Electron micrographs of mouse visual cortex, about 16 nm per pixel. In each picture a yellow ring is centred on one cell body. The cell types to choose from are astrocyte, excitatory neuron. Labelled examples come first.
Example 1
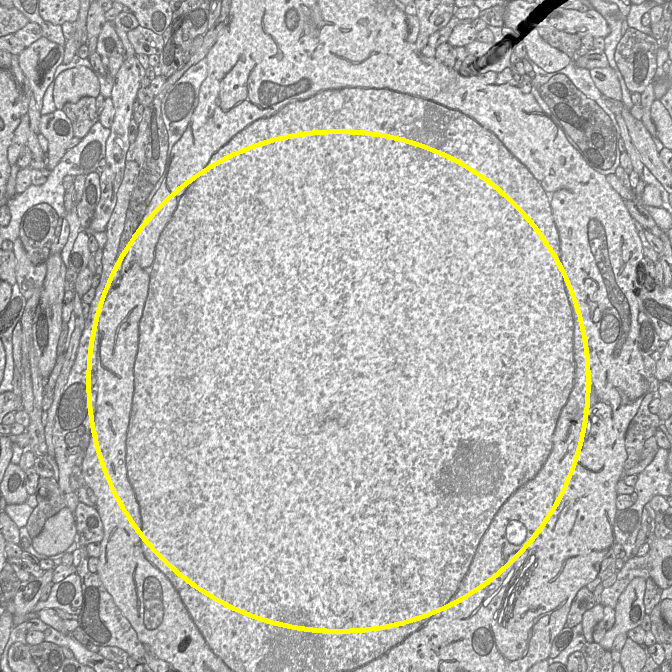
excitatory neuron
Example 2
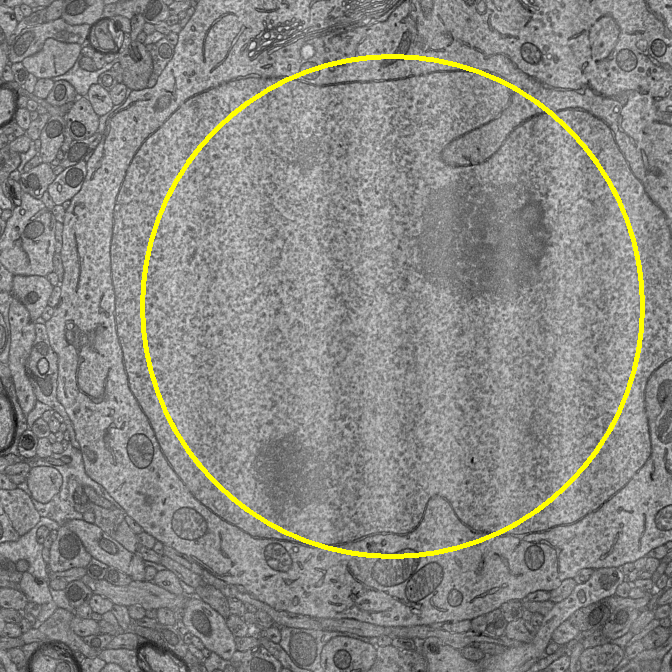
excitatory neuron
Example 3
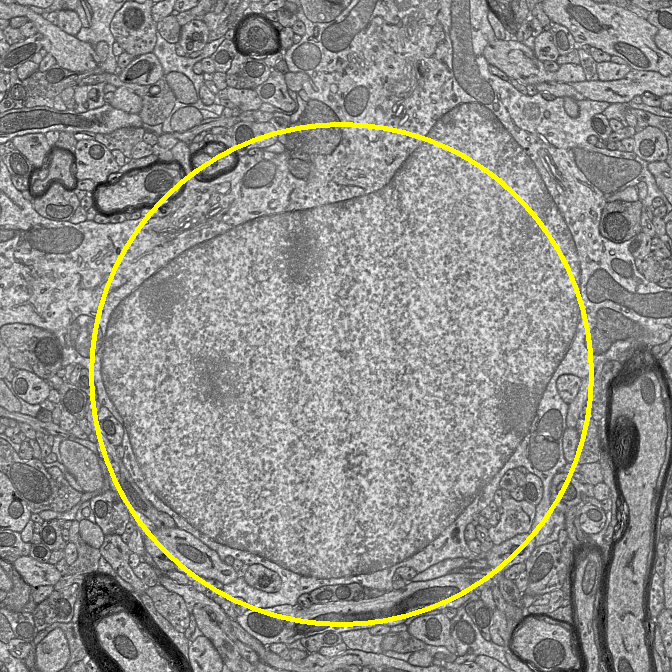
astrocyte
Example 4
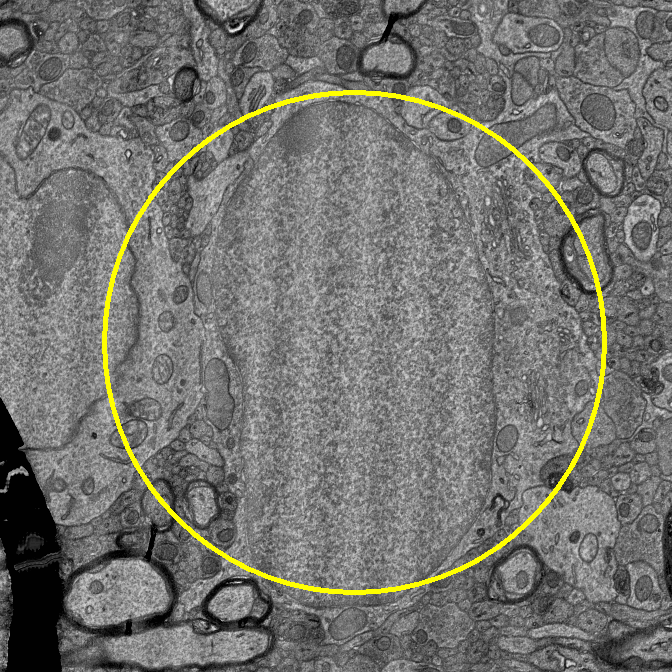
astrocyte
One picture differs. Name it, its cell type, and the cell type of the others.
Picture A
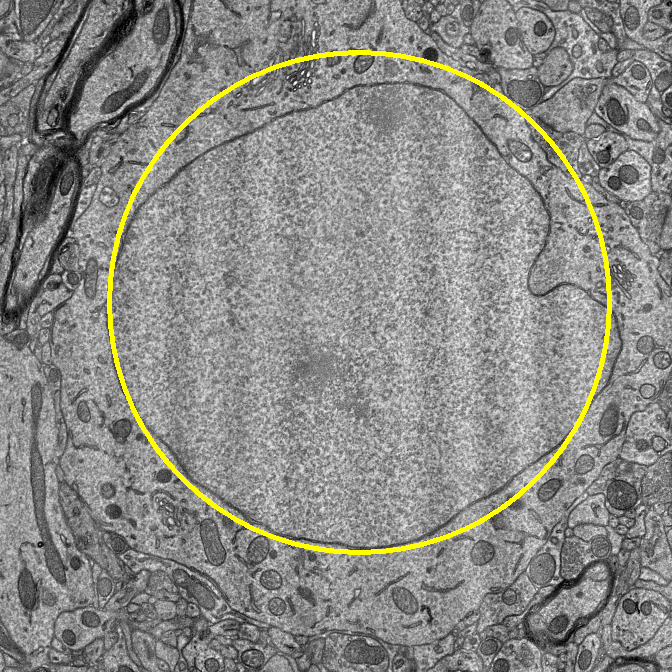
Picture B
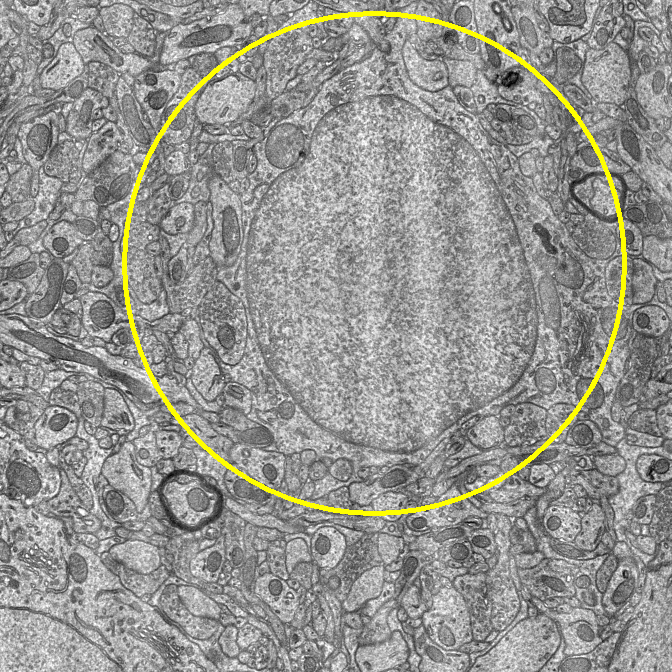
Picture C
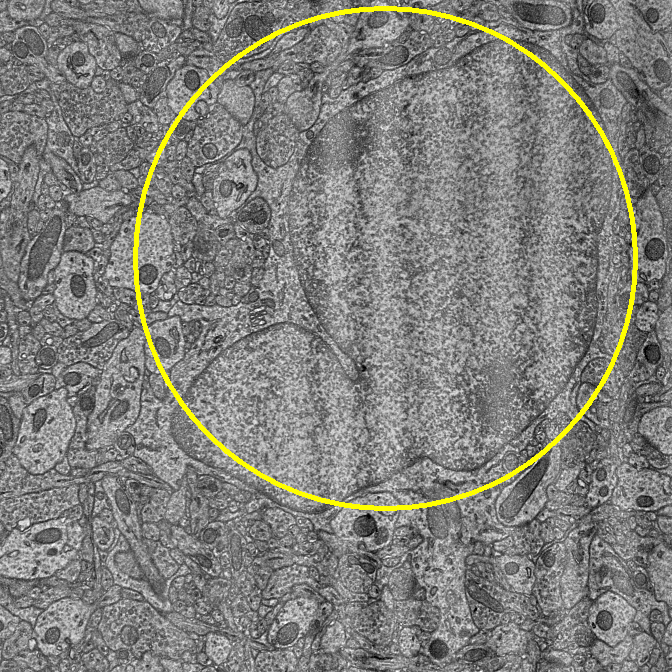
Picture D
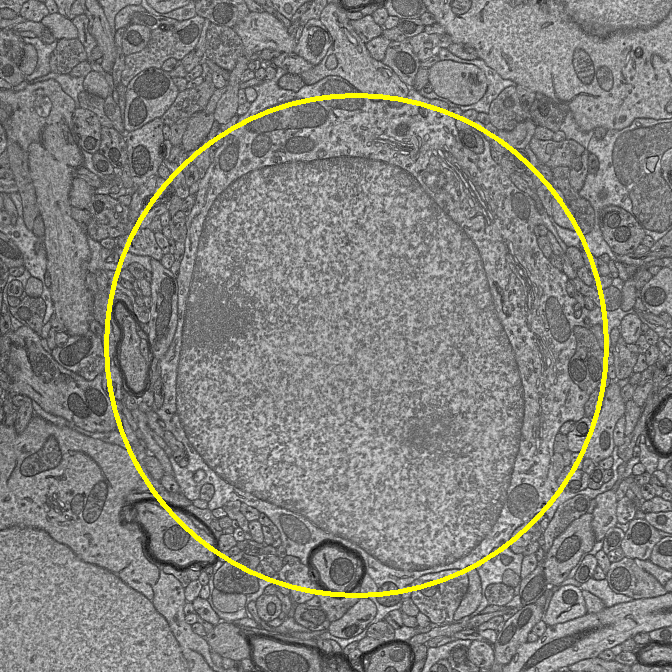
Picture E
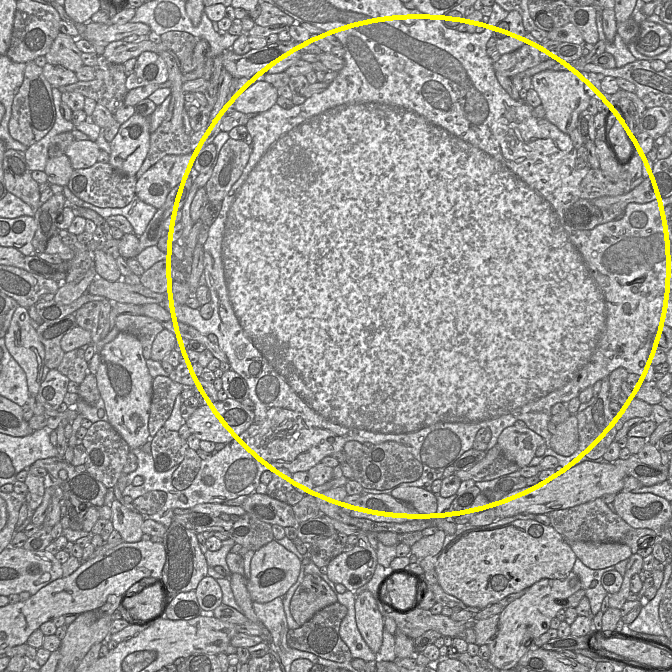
Exception: A, showing excitatory neuron. Remaining pictures: astrocyte.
